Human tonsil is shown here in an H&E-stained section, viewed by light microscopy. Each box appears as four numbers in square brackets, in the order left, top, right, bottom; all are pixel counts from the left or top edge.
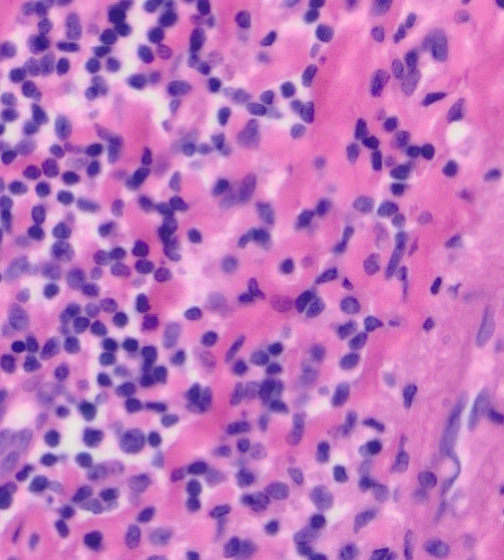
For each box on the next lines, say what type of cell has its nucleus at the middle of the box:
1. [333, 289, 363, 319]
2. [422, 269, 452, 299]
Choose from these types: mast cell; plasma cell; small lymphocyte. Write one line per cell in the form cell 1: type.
cell 1: plasma cell
cell 2: mast cell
